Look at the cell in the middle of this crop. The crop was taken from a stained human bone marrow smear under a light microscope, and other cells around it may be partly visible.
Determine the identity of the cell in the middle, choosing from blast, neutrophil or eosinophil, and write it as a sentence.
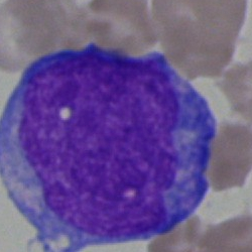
The crop's centre is taken up by a blast.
